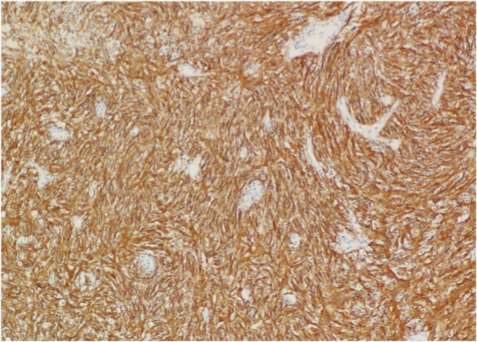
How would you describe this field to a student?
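This is a sheet of tumor cells with their cytoplasm stained diffusely brown, filling almost the whole field. The cells are elongated and lie in interlacing fascicles that in places curve into whorls. Scattered small, pale, unstained vessel spaces interrupt the brown sheet, and the tumor cells seem to wrap around some of them.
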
